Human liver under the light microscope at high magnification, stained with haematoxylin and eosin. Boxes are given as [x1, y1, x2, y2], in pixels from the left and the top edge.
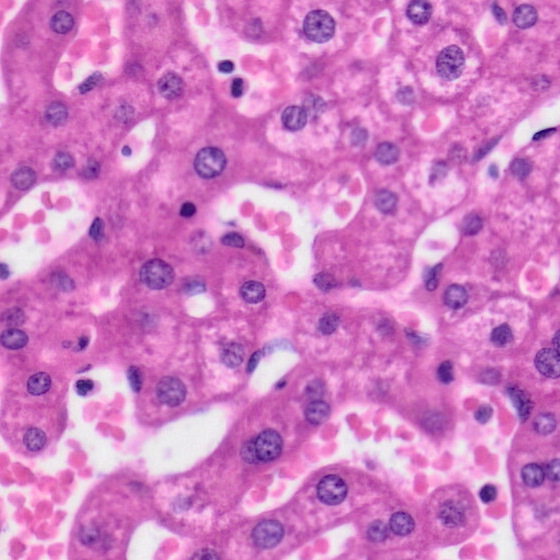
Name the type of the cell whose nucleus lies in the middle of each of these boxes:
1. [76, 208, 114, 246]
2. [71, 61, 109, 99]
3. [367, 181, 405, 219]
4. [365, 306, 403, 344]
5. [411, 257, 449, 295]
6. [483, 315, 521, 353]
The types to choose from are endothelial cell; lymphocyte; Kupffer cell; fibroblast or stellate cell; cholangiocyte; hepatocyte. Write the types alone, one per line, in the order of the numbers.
fibroblast or stellate cell
Kupffer cell
hepatocyte
hepatocyte
Kupffer cell
hepatocyte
